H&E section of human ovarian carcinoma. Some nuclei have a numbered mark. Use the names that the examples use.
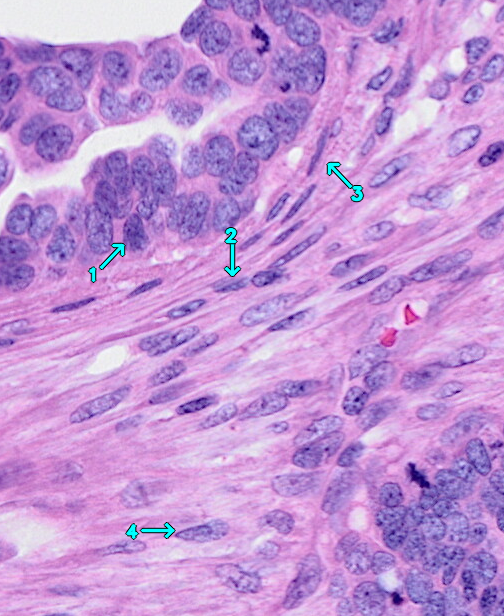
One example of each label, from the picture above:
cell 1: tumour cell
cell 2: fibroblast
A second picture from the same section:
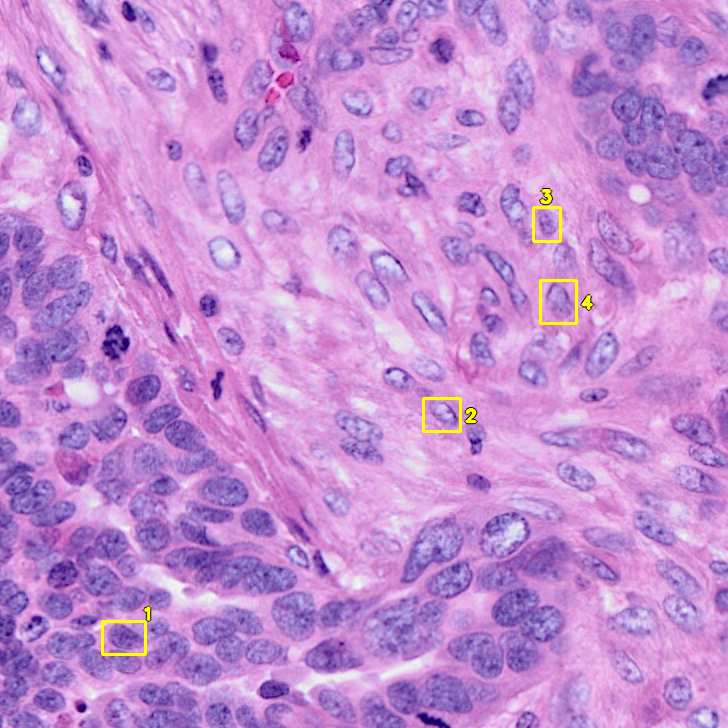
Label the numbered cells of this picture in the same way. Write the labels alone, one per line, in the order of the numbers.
tumour cell
fibroblast
fibroblast
fibroblast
